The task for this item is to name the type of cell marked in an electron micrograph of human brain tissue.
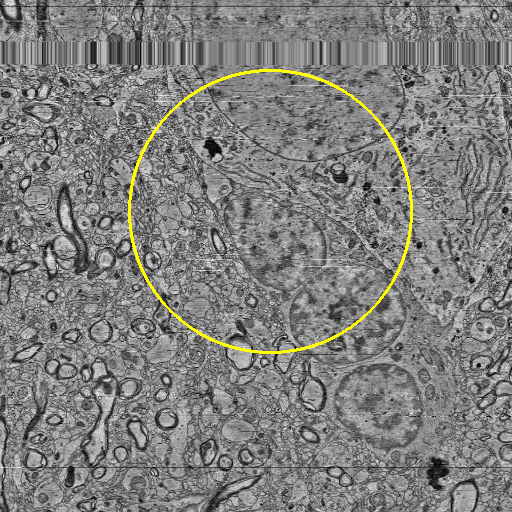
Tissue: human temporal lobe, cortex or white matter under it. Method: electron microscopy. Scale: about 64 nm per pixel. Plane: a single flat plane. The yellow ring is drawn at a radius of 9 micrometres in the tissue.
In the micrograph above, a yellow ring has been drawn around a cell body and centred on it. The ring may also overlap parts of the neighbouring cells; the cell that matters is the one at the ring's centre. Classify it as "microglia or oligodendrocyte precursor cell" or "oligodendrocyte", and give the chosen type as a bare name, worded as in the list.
oligodendrocyte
